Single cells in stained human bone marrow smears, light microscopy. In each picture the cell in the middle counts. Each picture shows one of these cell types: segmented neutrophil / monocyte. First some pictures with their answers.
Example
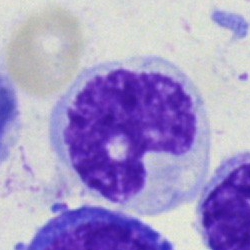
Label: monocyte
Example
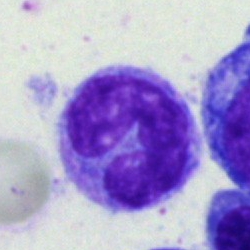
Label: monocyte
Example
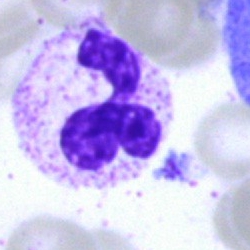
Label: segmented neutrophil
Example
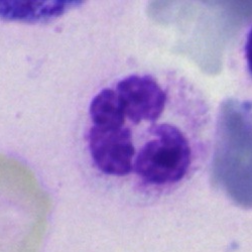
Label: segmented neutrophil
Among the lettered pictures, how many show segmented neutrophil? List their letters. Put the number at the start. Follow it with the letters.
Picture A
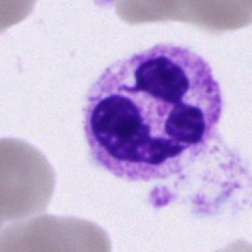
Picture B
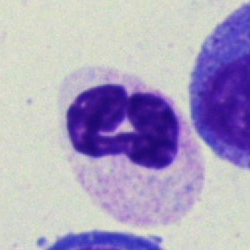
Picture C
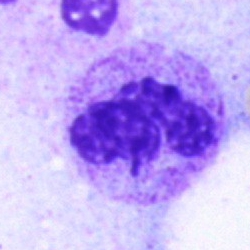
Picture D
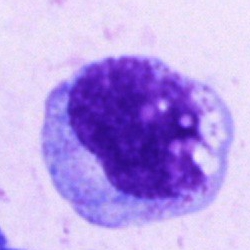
Count: 3 (A, B, C)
